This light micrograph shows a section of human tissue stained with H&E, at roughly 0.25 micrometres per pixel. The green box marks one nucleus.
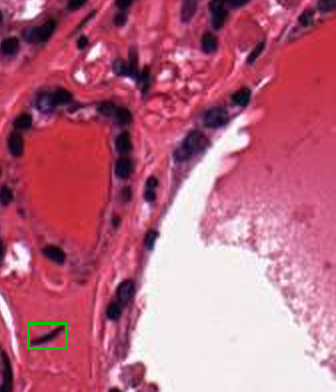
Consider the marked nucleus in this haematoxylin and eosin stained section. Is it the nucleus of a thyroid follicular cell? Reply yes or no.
no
